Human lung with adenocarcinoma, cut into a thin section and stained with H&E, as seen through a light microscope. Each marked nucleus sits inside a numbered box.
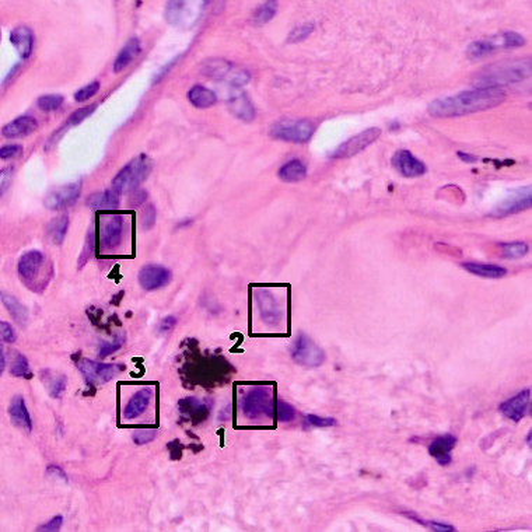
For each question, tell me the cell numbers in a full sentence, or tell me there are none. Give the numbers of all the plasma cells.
Regarding the numbered cells 1 and 4, these are plasma cells.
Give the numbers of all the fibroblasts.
Cell 2 is a fibroblast; the remaining numbered cells are not.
